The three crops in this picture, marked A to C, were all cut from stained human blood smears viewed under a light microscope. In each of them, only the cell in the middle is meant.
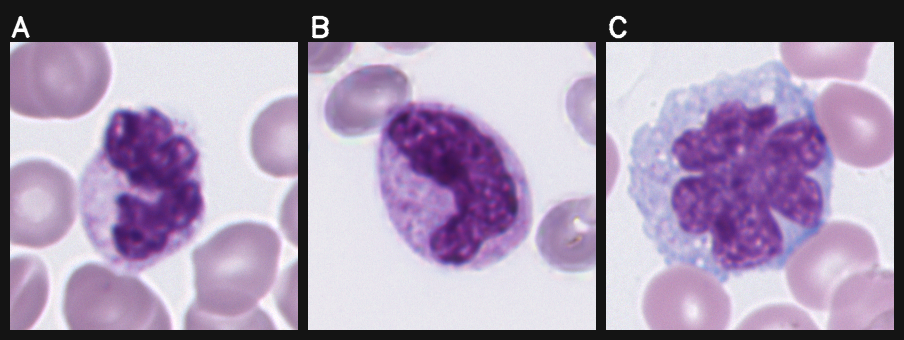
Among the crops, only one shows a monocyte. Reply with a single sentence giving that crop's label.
Crop C is the one that shows a monocyte.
